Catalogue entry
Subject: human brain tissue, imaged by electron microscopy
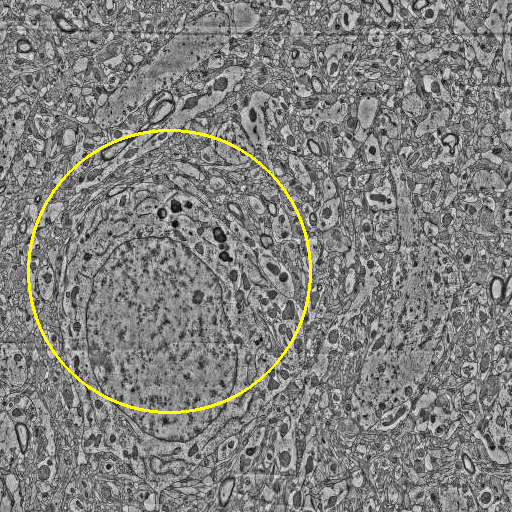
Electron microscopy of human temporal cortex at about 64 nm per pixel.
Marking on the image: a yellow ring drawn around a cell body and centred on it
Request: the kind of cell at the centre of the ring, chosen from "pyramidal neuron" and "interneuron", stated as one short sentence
The ring has an interneuron at its centre.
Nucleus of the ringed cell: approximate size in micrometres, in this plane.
In this plane the nucleus spans approximately 13 by 10 micrometers.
